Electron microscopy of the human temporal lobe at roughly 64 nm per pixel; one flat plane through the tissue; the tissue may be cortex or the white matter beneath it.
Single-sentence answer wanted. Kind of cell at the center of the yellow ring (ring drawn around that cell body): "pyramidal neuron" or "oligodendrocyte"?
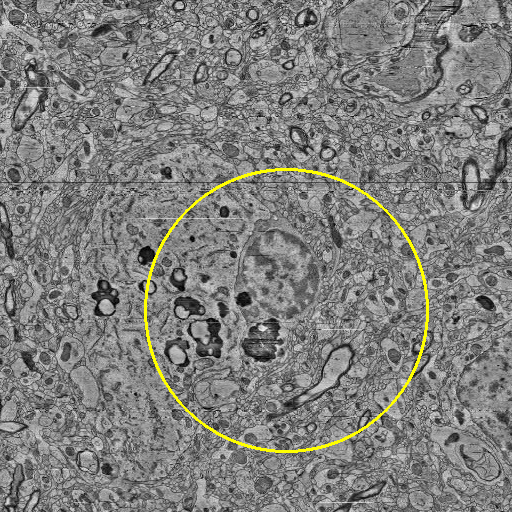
The cell centered in the ring is an oligodendrocyte.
